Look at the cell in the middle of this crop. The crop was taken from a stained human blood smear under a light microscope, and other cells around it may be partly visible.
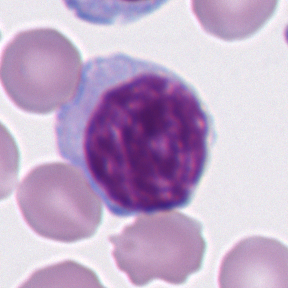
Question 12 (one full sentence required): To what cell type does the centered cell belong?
The cell positioned in the middle of the field is a typical lymphocyte.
